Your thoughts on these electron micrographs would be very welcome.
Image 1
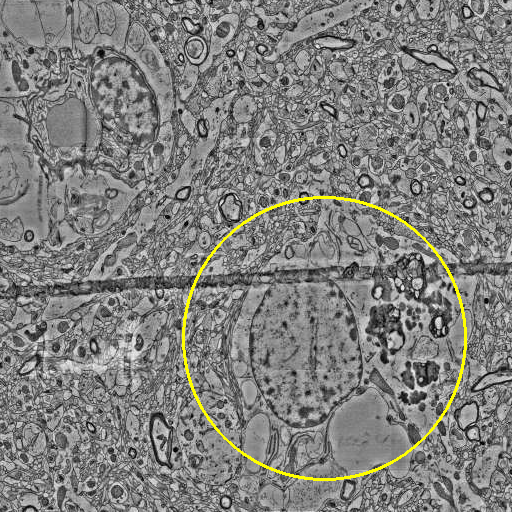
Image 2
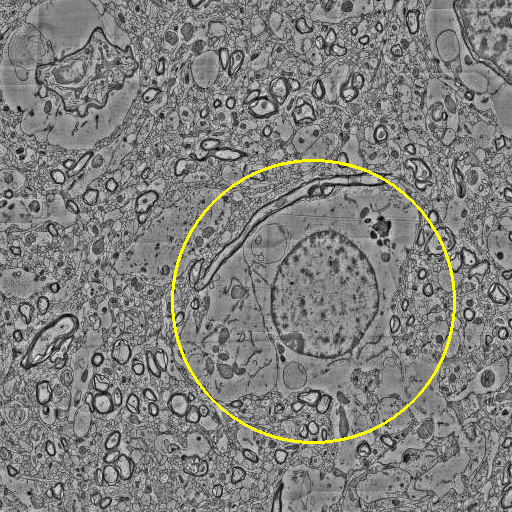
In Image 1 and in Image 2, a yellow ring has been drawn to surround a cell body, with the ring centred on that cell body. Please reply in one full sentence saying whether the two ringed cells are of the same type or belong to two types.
The ringed cells in Image 1 and Image 2 are of the same type.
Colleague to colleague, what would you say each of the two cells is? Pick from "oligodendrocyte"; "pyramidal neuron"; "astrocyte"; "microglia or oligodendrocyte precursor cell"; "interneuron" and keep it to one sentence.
Each of the ringed cells, first and second, is an astrocyte.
